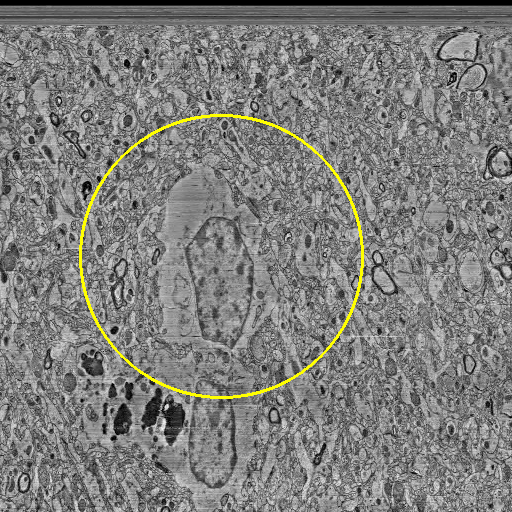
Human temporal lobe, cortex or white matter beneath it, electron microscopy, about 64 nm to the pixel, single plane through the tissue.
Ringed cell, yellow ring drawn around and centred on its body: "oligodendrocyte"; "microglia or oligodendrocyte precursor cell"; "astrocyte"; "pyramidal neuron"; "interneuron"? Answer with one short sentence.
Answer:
This ringed cell is an astrocyte.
